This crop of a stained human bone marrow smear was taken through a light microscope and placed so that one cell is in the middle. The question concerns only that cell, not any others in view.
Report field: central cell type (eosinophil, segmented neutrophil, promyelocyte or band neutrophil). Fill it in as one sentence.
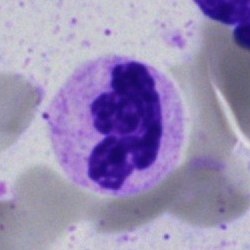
The cell around which this crop is centred is a segmented neutrophil.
